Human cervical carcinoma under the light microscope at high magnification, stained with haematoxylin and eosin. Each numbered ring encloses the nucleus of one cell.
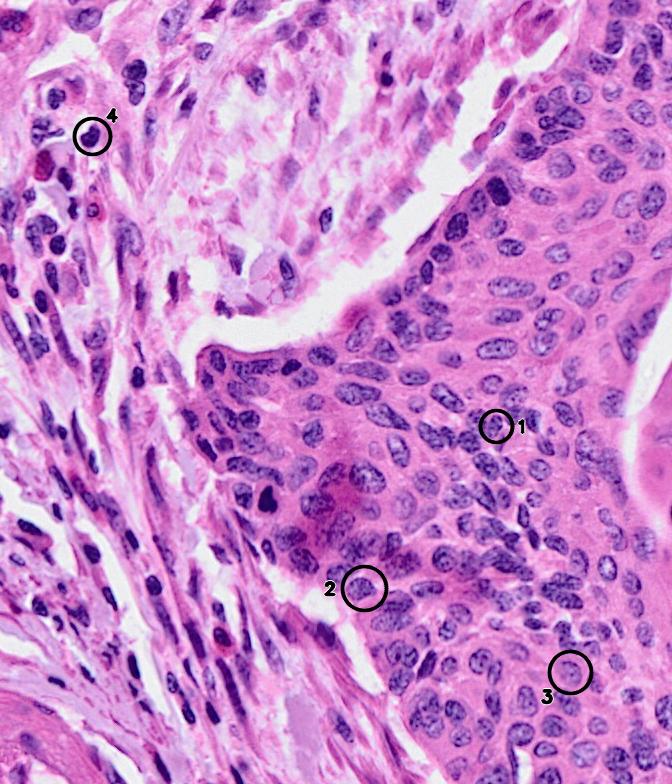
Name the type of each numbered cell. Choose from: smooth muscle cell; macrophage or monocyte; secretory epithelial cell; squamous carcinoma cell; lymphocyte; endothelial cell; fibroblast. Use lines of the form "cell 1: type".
cell 1: squamous carcinoma cell
cell 2: squamous carcinoma cell
cell 3: squamous carcinoma cell
cell 4: lymphocyte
